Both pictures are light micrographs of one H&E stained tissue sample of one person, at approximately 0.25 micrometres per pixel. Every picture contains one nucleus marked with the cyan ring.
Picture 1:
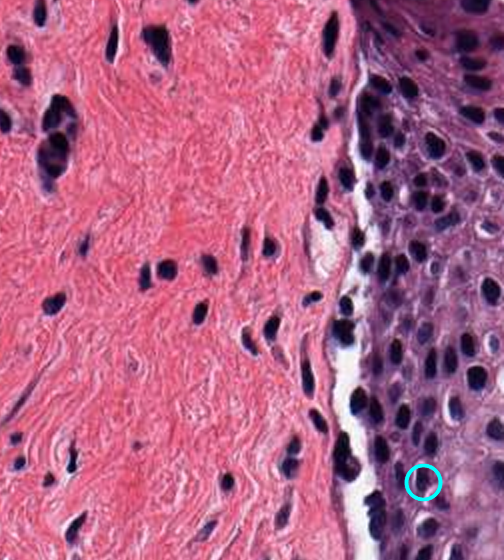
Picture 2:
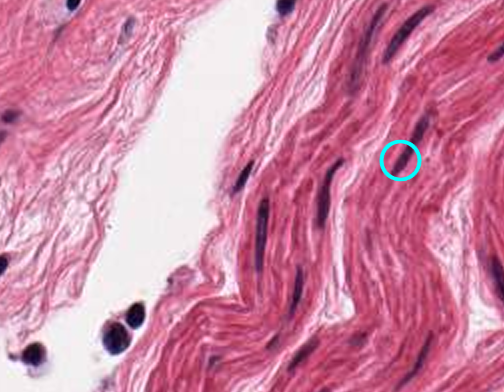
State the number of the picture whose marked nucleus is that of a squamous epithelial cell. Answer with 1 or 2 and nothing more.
1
